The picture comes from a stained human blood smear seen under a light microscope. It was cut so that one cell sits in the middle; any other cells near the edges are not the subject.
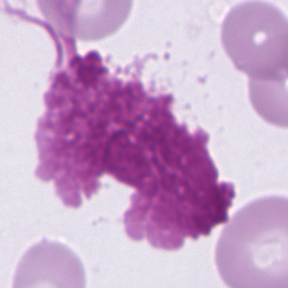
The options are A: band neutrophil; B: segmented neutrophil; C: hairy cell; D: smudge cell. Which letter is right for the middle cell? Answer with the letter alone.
D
